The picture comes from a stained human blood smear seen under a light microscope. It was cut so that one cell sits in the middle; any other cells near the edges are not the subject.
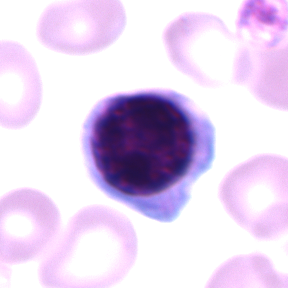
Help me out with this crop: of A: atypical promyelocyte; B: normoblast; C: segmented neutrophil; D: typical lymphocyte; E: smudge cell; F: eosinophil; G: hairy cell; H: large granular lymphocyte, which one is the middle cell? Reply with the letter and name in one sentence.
Option B gets it right: the cell in the middle is a normoblast.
